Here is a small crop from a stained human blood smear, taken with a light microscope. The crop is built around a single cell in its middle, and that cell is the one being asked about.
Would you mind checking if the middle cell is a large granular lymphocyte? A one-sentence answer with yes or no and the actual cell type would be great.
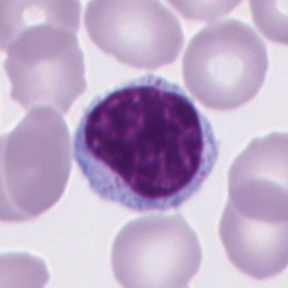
No, the central cell isn't a large granular lymphocyte, but a typical lymphocyte.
